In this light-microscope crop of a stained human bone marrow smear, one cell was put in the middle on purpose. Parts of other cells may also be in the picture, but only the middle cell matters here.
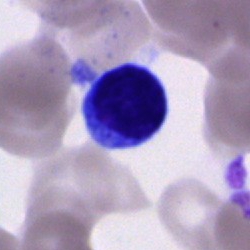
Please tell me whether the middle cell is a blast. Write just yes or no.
no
